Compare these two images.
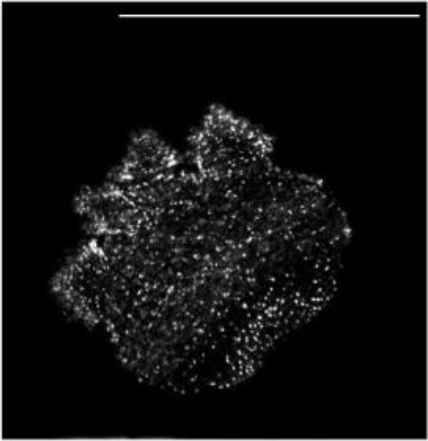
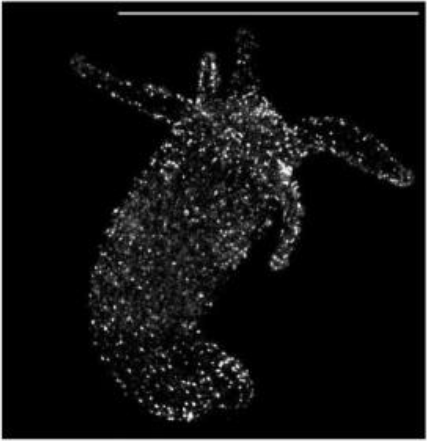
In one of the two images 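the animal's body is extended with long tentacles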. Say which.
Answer: The second image.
